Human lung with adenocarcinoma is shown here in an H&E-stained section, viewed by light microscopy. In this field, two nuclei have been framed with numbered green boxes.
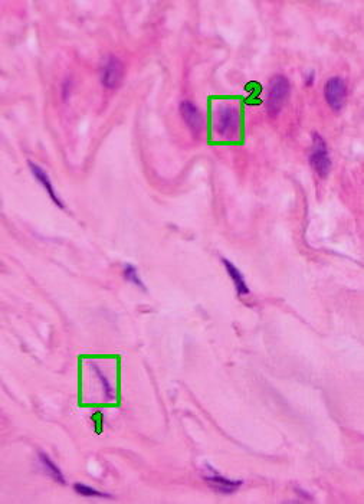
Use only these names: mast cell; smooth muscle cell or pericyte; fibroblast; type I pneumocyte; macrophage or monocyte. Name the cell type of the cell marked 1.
fibroblast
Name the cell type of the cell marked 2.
smooth muscle cell or pericyte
